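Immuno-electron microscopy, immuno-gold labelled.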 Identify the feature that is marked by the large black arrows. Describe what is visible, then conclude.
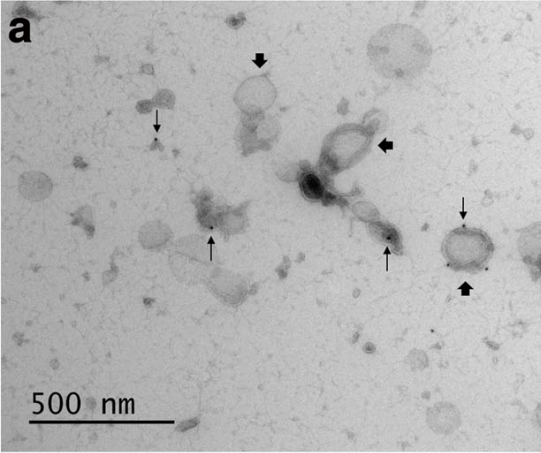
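The large arrows point at small round membrane-bound vesicles. The vesicles have a thin dark rim and a paler interior. The vesicles are far smaller than the 500 nm scale bar. Many similar vesicles lie scattered on the background. So: exosomes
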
